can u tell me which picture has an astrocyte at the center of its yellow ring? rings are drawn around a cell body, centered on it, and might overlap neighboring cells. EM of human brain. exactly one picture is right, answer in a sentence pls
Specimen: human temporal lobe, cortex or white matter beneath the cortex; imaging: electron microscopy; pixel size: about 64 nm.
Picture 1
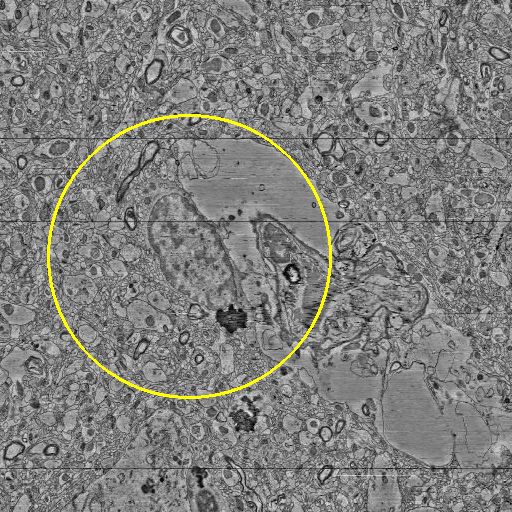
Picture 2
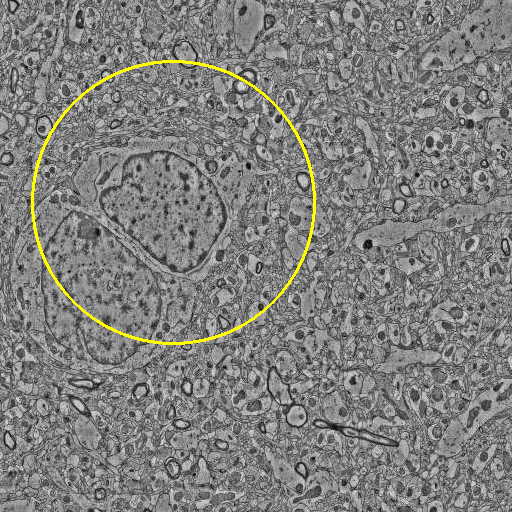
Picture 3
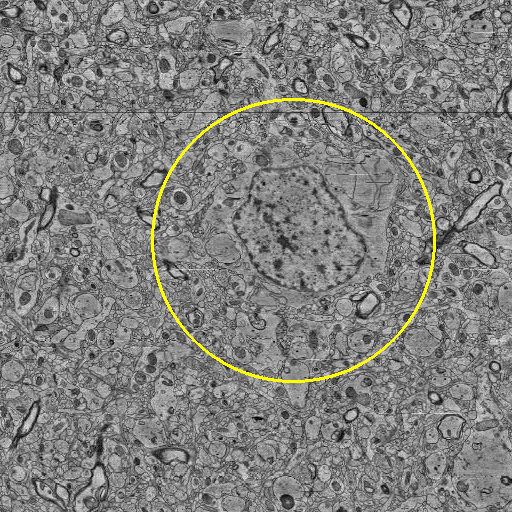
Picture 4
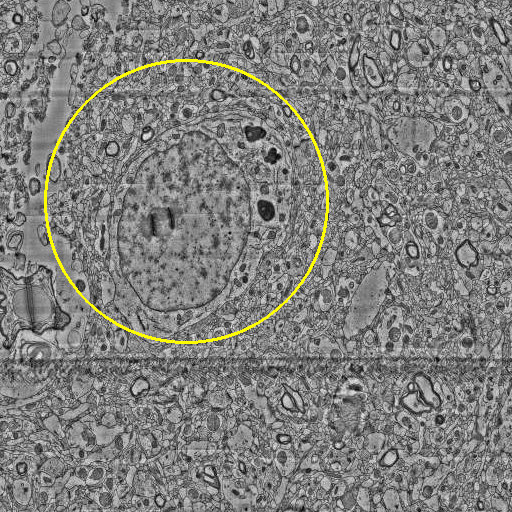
Picture 3 is the one.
